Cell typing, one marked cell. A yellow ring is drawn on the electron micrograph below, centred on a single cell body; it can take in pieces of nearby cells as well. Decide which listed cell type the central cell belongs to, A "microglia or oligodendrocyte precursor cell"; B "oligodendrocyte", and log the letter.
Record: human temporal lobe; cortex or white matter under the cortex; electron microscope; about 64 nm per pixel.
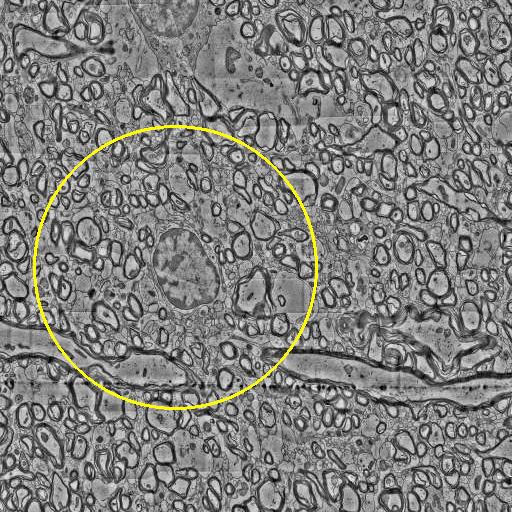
A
